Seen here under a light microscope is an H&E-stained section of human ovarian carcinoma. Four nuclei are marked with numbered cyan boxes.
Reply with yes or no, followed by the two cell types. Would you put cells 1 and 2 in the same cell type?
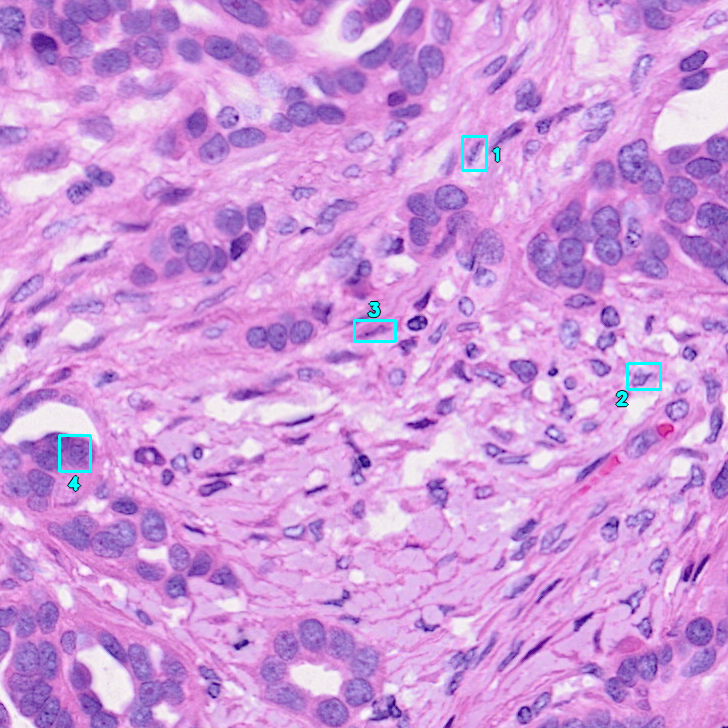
Yes, both are fibroblasts.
